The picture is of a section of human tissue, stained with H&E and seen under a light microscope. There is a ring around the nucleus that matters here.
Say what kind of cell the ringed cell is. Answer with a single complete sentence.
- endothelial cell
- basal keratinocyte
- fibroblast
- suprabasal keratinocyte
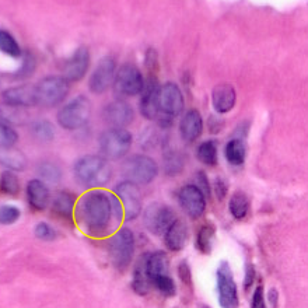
In this field of tissue, the ringed cell is a basal keratinocyte.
